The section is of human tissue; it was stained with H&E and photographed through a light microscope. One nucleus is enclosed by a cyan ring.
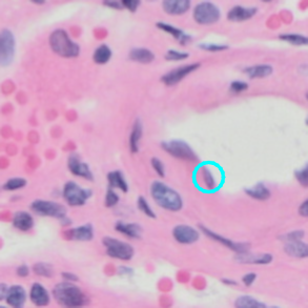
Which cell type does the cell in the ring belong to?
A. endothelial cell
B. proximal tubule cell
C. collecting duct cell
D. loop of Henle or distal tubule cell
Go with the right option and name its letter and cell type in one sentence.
Option A is correct in that the cell in the ring is an endothelial cell.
